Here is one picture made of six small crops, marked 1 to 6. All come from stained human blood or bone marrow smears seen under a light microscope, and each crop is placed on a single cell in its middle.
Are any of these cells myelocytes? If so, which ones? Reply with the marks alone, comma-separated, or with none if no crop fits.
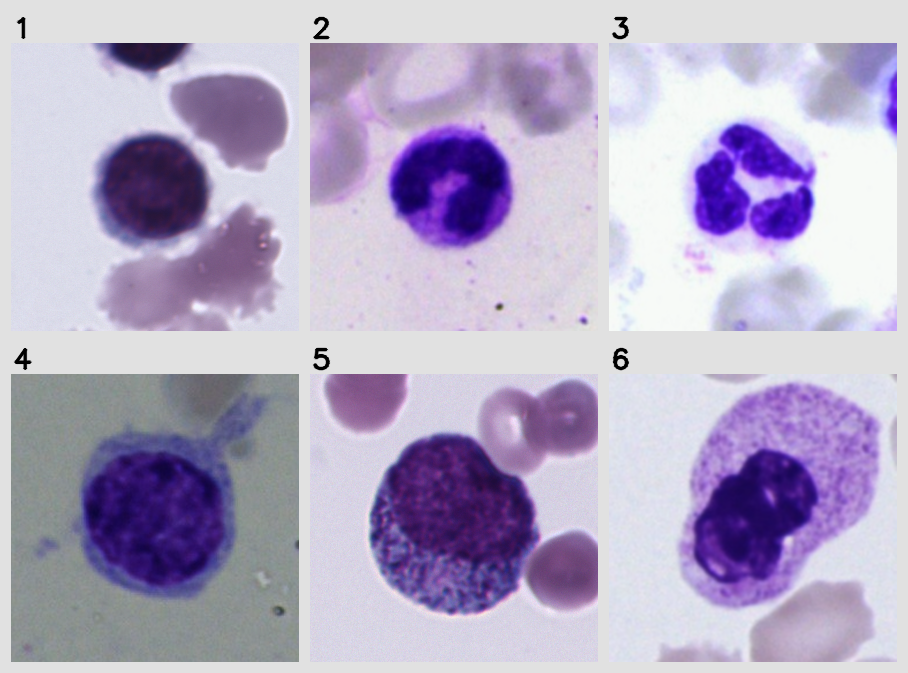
5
